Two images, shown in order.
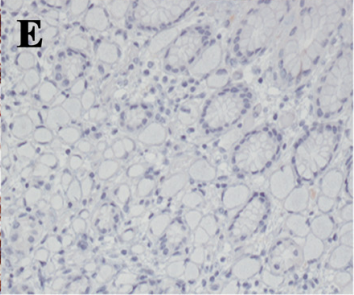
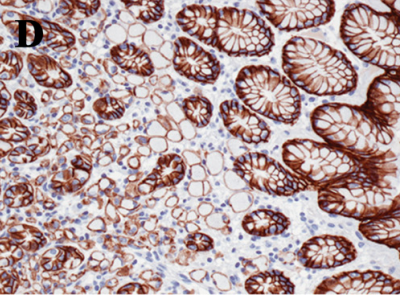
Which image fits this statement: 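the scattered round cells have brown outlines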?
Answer: the second image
